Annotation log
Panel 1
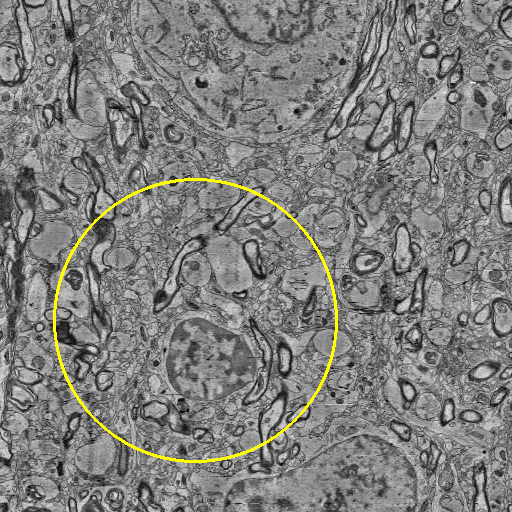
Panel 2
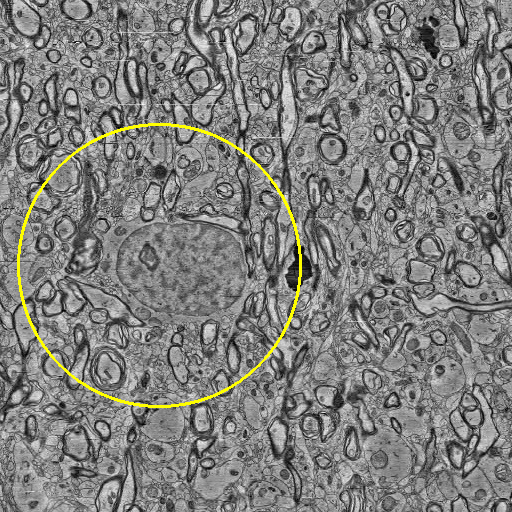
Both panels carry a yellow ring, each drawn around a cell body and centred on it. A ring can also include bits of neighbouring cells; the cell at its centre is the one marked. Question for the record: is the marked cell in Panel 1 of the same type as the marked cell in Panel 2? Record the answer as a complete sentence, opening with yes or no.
No, the marked cells in Panel 1 and Panel 2 are of two types.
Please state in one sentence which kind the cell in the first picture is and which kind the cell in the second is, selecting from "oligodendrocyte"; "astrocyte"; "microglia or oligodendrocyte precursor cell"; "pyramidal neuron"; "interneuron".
The first ringed cell is a microglial cell or oligodendrocyte precursor cell, the second ringed cell an oligodendrocyte.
